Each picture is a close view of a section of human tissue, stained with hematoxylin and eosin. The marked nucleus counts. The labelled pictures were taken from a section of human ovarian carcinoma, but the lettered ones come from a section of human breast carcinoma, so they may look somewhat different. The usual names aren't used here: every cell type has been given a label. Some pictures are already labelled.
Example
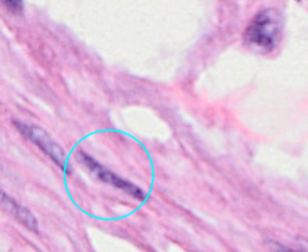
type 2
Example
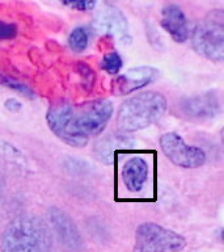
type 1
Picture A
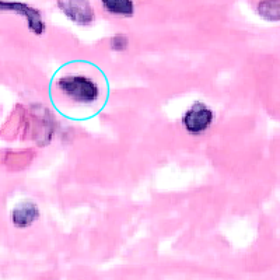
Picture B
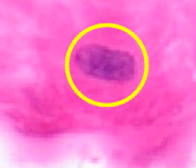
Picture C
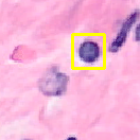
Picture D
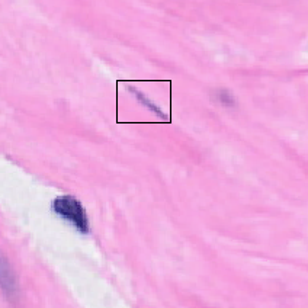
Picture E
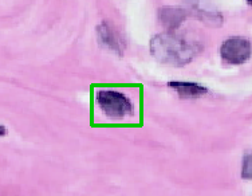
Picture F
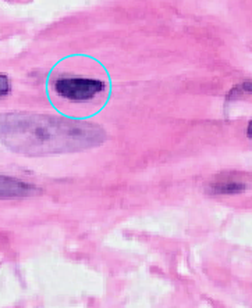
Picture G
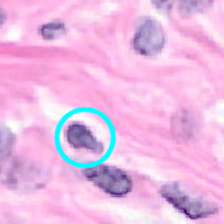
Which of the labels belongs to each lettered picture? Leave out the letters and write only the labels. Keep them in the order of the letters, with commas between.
type 1, type 2, type 1, type 2, type 1, type 1, type 1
